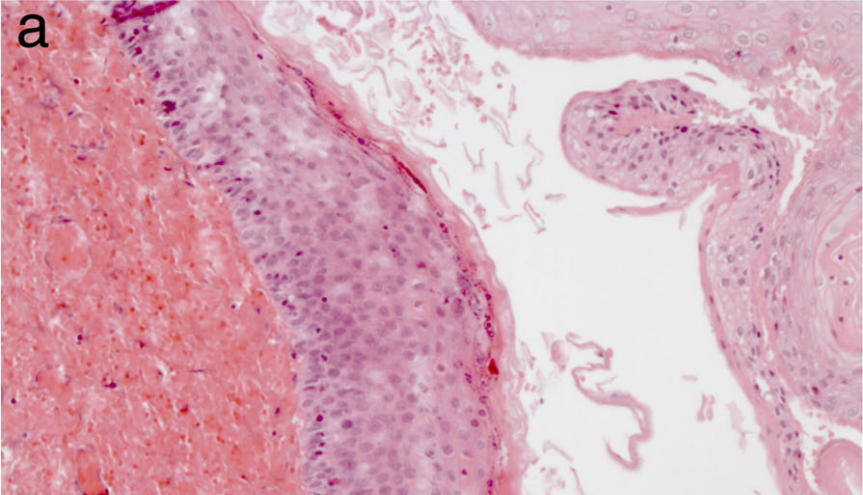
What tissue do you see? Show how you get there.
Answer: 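Squamous epithelium. A band of many stacked layers of polygonal cells lines a cleft-like space. Cells flatten toward the surface facing the space.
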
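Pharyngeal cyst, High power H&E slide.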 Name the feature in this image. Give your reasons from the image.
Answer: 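Thin, wavy, pale pink, anucleate flakes lie free within the empty space between the epithelial linings. On this evidence: intraluminal keratin debris.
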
